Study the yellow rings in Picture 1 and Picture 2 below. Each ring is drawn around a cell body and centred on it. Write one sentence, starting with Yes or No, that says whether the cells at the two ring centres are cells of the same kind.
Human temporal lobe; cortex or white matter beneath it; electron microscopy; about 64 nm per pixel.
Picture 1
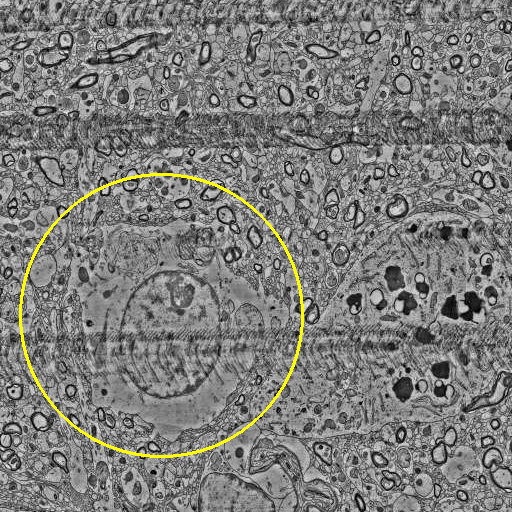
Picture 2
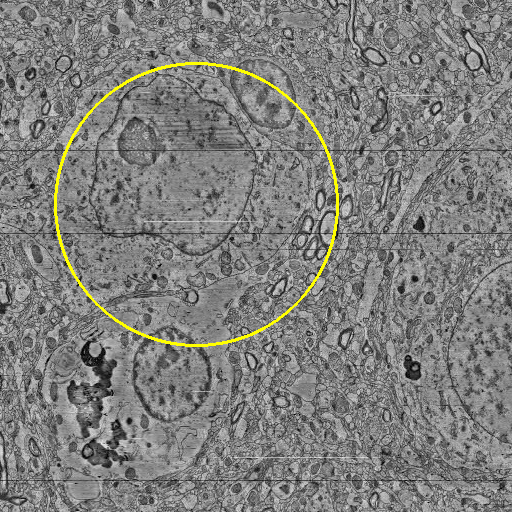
No, the cells at the ring centres are of two kinds.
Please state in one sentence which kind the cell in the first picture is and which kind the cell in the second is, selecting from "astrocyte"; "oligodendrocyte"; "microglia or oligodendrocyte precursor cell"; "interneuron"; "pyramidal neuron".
The first ringed cell is an astrocyte, the second ringed cell a pyramidal neuron.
